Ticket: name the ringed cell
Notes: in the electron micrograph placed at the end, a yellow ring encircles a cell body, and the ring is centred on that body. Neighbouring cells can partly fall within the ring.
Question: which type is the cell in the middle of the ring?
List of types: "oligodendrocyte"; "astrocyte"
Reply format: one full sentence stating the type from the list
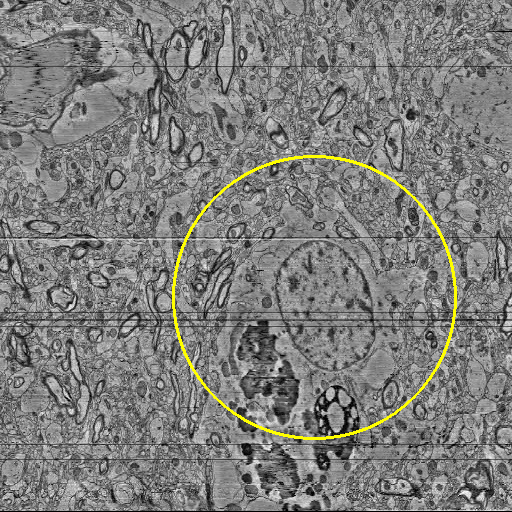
The cell sitting at the centre of the yellow ring is an astrocyte.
